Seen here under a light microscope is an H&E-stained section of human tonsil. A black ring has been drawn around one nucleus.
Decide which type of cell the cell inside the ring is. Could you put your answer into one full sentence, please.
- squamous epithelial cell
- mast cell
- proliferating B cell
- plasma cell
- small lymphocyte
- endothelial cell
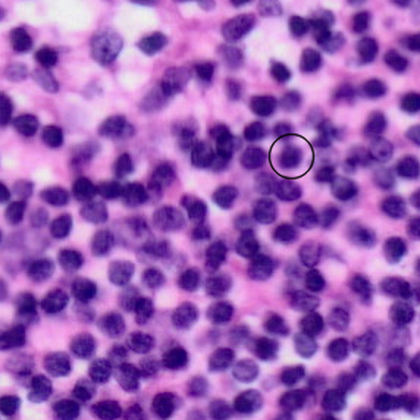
The identity of the cell inside the ring: it is a small lymphocyte.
